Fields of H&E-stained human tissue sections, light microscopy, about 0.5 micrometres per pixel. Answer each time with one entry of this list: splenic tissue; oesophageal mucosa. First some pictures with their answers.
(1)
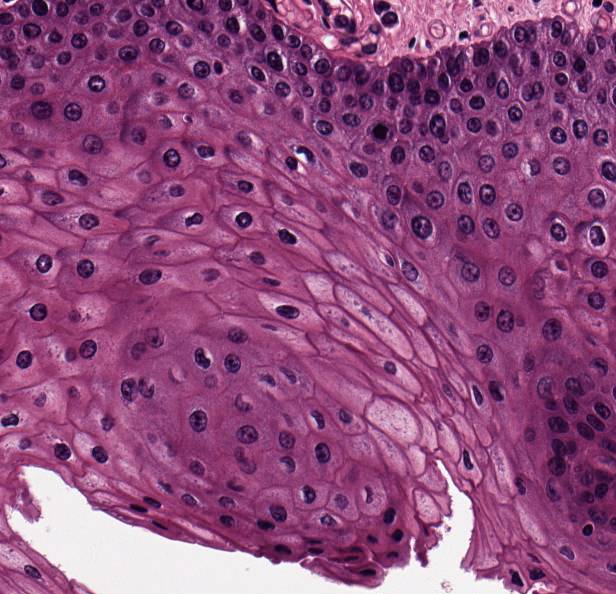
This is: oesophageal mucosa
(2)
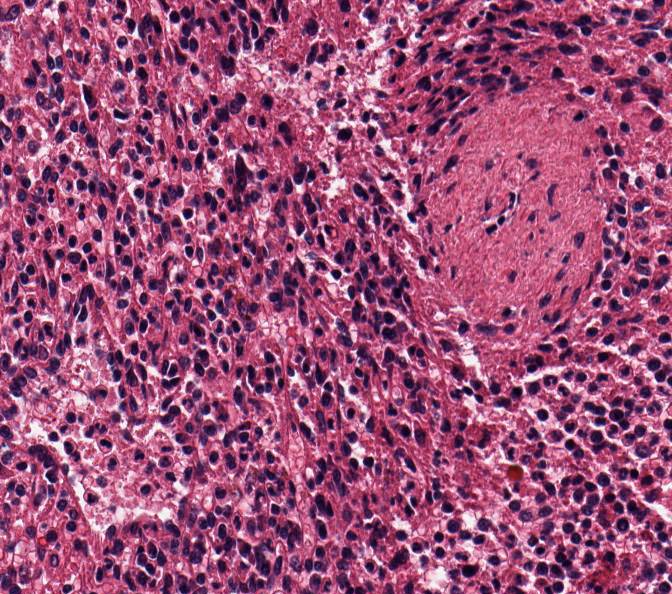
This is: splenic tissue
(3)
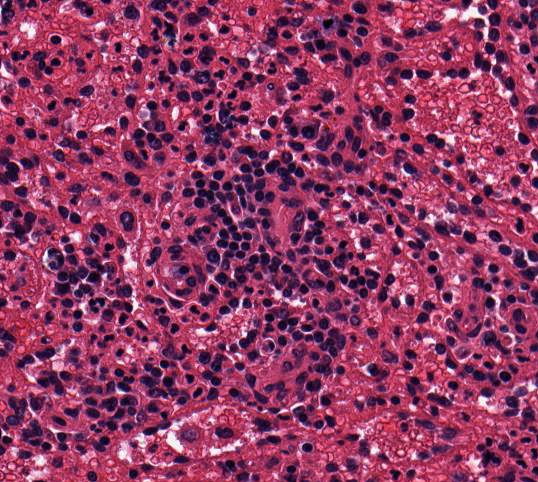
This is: splenic tissue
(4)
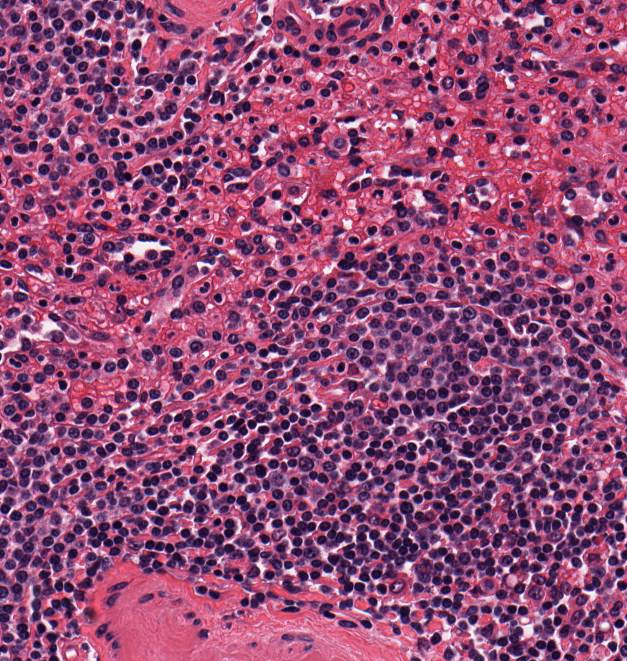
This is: splenic tissue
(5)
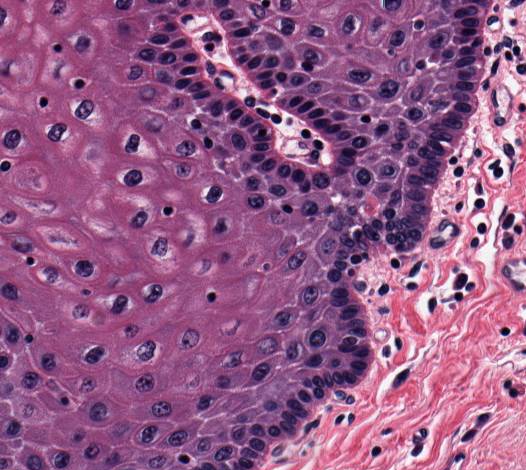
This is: oesophageal mucosa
